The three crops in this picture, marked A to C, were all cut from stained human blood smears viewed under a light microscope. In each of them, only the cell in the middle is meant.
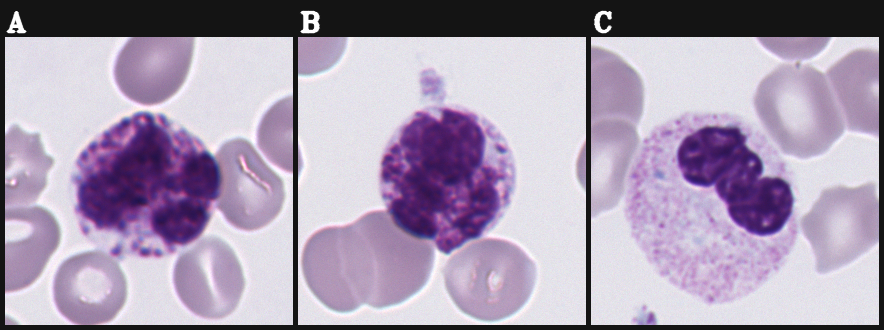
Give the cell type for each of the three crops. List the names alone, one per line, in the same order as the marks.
basophil
basophil
segmented neutrophil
